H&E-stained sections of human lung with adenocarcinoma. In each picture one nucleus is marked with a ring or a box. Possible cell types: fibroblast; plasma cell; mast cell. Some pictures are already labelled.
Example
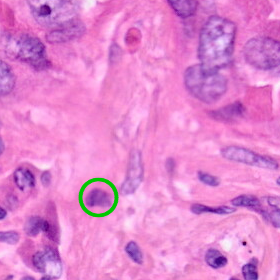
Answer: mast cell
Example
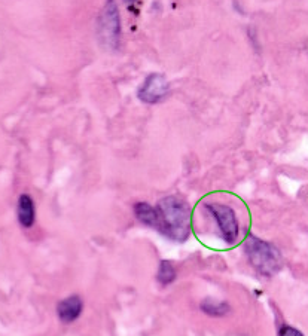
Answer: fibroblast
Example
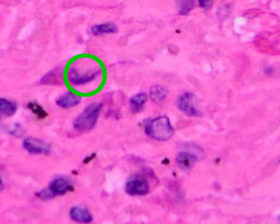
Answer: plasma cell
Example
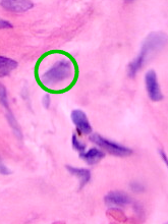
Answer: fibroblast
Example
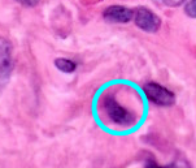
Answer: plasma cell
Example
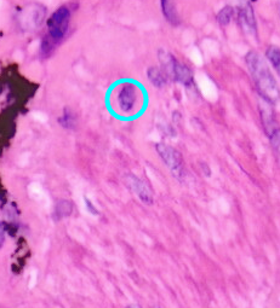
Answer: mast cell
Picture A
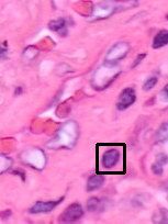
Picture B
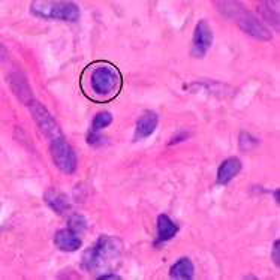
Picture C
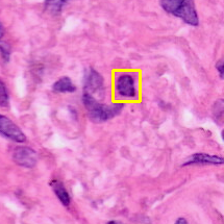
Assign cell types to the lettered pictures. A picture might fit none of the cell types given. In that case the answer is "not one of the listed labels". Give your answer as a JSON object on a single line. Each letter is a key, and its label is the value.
{"A": "mast cell", "B": "mast cell", "C": "mast cell"}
